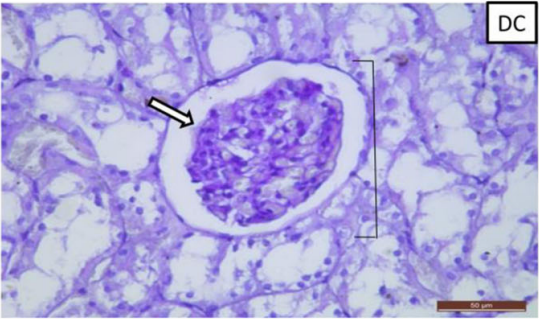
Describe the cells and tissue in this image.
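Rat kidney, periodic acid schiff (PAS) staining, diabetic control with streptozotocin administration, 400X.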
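This section of renal cortex shows a glomerulus surrounded by tubules. A clear space separates the tuft from the thin outer wall of the capsule. The surrounding tubules have pale, vacuolated-looking cytoplasm with small dark purple nuclei along their walls, and wide pale lumina.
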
